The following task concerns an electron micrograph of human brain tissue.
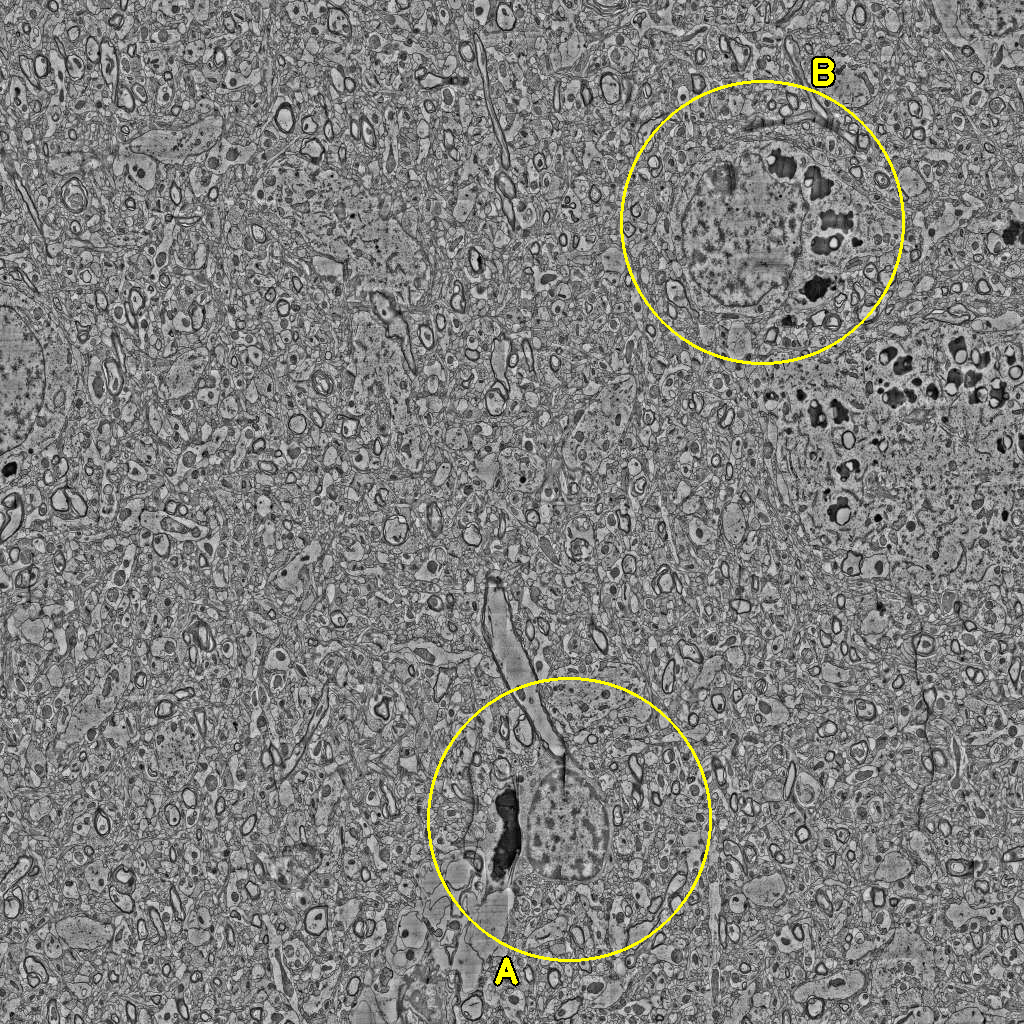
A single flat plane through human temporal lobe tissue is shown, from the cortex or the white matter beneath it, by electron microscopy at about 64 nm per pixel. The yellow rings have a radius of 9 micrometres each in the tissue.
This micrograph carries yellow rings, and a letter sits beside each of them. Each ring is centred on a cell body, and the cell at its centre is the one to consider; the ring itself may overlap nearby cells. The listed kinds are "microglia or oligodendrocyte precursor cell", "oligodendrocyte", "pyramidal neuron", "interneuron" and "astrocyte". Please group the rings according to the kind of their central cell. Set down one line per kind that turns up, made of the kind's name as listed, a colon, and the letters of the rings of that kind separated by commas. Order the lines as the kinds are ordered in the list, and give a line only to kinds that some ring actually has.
oligodendrocyte: A
interneuron: B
